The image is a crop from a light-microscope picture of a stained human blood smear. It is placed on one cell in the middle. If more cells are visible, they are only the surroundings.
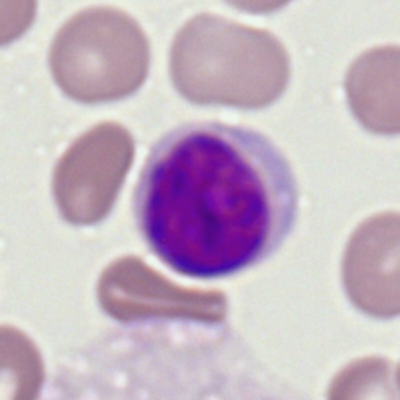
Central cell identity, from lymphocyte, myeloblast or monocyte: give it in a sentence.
At the center of the crop sits a lymphocyte.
